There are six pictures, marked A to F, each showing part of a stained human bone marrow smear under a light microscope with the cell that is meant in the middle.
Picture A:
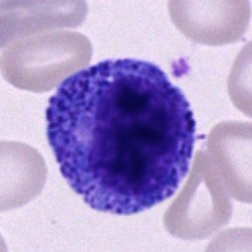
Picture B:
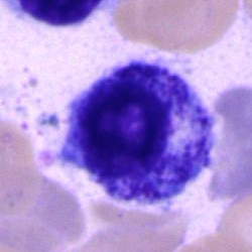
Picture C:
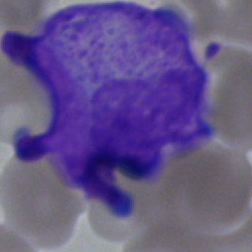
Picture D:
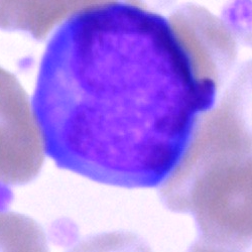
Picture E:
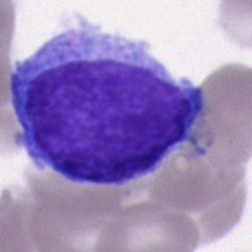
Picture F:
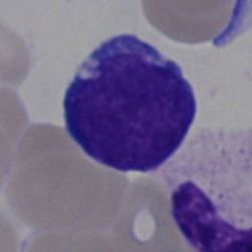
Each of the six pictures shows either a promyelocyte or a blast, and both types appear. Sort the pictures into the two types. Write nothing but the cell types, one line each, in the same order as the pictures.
promyelocyte
promyelocyte
blast
blast
blast
blast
